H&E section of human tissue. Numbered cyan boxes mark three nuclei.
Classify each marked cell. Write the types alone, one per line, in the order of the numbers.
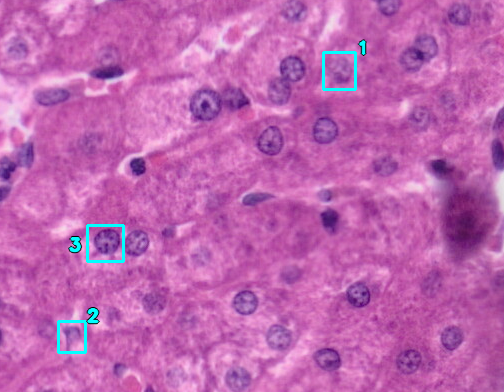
hepatocyte
endothelial cell
hepatocyte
